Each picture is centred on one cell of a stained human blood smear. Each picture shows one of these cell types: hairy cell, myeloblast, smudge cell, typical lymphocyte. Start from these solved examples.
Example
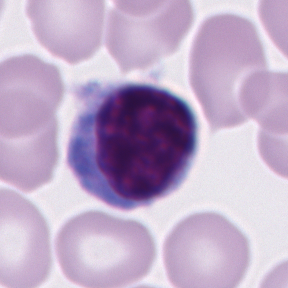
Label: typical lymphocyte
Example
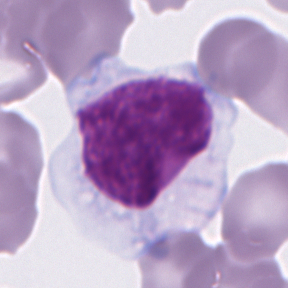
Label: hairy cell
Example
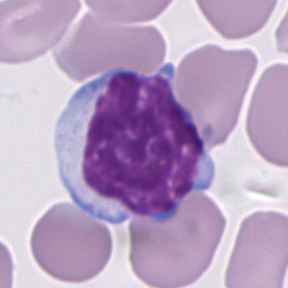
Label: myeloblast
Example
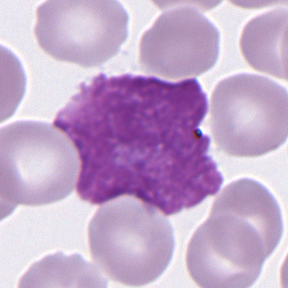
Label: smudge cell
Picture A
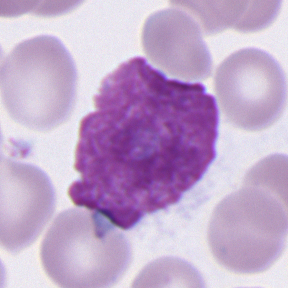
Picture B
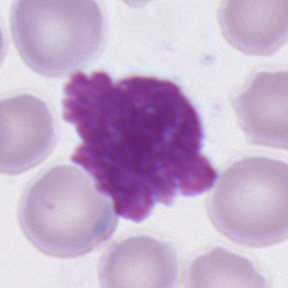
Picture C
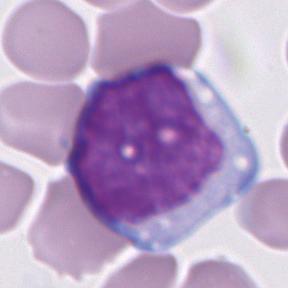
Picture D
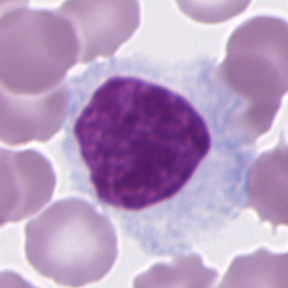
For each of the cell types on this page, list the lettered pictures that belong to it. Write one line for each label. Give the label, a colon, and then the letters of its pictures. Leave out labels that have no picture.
hairy cell: D
myeloblast: C
smudge cell: A, B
